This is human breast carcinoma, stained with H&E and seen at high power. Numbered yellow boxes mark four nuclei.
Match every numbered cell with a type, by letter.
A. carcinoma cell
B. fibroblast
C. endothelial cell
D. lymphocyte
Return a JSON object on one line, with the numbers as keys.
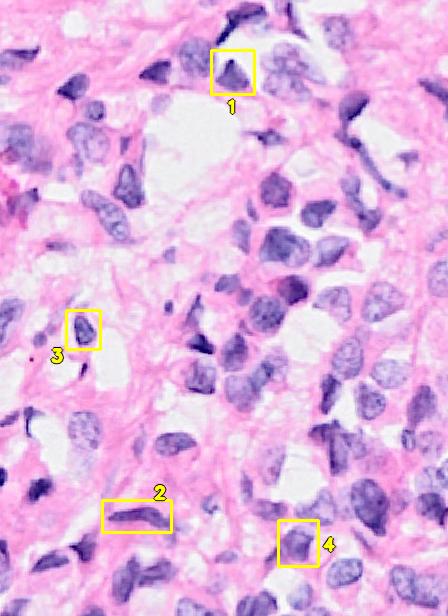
{"1": "A", "2": "C", "3": "D", "4": "A"}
